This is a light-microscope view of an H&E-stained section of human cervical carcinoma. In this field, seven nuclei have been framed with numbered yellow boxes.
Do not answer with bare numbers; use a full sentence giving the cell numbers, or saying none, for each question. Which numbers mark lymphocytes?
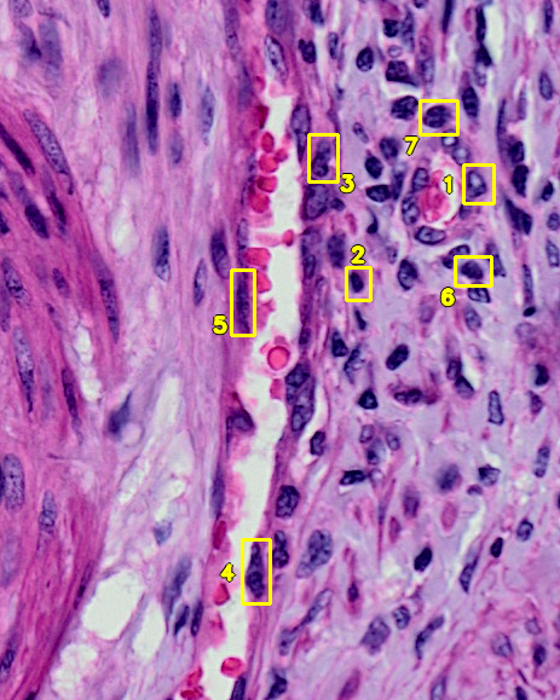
Cells 2, 6 and 7 are lymphocytes by cell type.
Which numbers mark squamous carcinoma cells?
From first to last, the numbered cells include no squamous carcinoma cells.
